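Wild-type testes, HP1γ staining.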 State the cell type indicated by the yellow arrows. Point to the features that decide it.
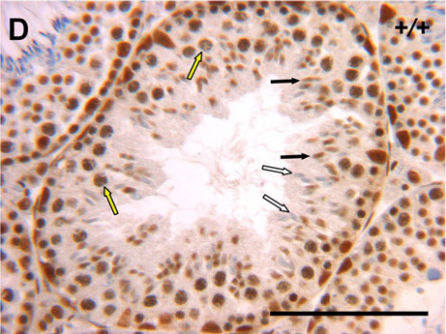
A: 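The yellow arrows point to large round nuclei in the middle of the epithelium. These nuclei are paler with a few dark spots.
Pachytene spermatocytes.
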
